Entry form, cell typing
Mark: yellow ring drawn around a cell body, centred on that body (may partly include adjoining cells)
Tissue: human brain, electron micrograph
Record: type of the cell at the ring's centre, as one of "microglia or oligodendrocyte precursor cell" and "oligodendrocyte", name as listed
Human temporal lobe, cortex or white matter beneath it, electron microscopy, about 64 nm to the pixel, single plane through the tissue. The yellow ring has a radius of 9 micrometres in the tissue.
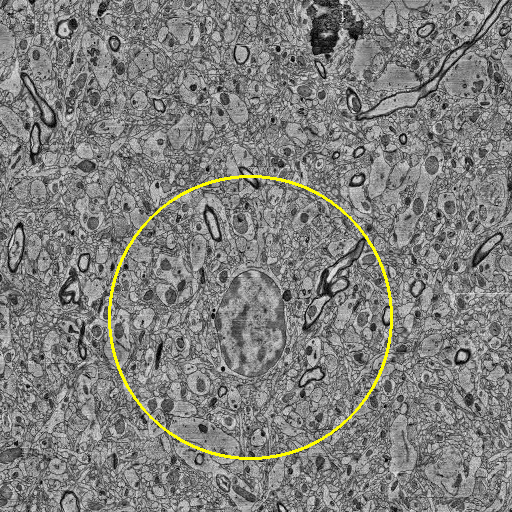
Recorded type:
microglia or oligodendrocyte precursor cell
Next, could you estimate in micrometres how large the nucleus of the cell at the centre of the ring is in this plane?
The nucleus is approximately 7 micrometers long by 5 micrometers wide in this plane.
